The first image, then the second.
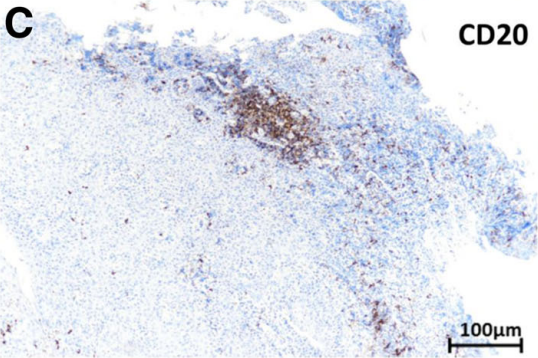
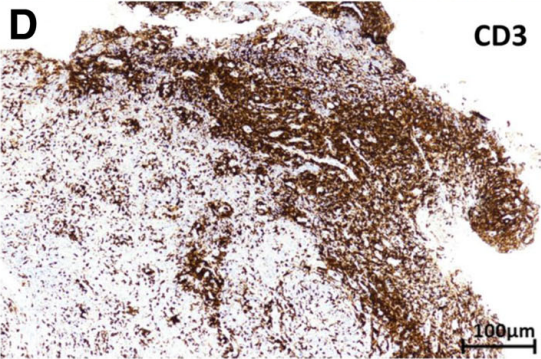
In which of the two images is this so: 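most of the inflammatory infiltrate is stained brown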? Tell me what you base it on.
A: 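The second image. Second image: a large, dense band of the tissue is stained dark brown. First image: only a small cluster and scattered cells are brown, the rest is blue.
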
